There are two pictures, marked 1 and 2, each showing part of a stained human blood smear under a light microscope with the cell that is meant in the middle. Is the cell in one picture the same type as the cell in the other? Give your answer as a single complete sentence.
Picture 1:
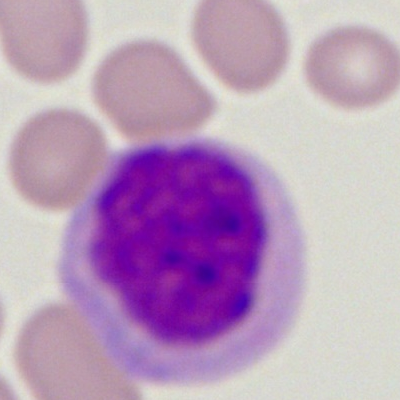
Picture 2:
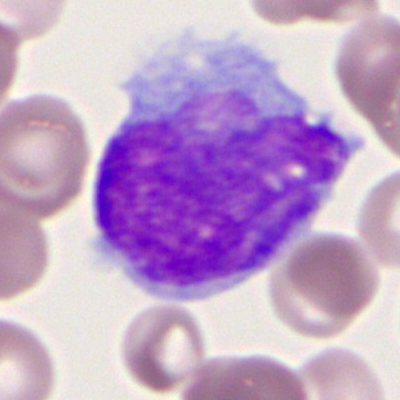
Yes, both cells are monocytes.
